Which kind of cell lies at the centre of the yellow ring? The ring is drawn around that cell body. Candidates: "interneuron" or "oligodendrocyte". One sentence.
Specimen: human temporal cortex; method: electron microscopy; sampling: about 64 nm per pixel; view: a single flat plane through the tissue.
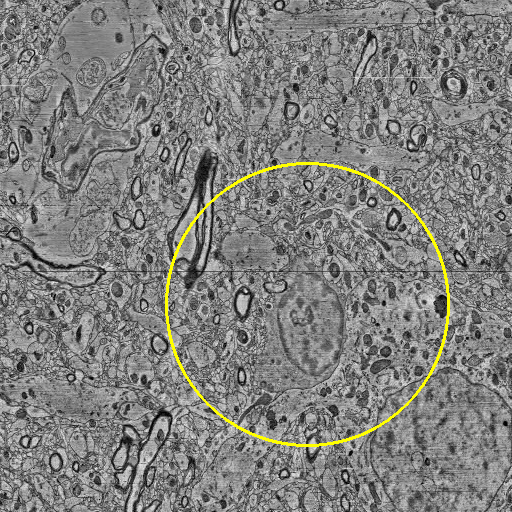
Lying at the centre of the ring is an oligodendrocyte.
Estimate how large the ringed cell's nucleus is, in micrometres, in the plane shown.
Approximately 7 micrometres long and 4 micrometres wide, so clearly longer than it is wide in this plane.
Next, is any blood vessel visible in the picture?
Yes.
